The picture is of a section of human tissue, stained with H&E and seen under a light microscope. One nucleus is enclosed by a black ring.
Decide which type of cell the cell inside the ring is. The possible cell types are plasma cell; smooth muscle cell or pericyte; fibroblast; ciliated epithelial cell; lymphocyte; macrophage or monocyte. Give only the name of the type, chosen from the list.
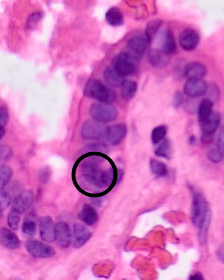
ciliated epithelial cell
